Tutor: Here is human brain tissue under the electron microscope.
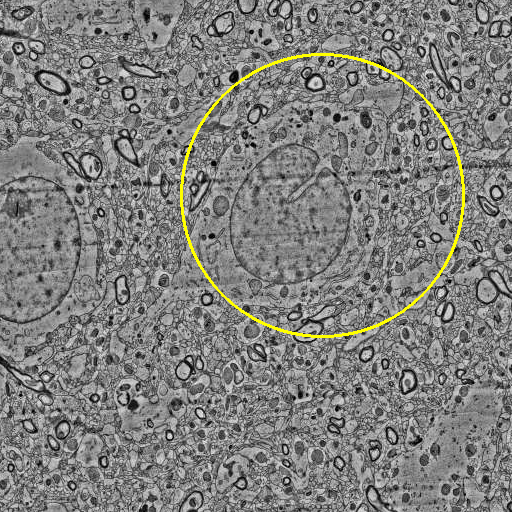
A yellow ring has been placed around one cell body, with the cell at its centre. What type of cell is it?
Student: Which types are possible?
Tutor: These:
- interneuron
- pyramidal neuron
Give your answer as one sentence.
What the ring picks out here is an interneuron.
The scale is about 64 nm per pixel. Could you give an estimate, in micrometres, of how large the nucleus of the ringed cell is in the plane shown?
Approximately 9 micrometres long and 8 micrometres wide, in this plane.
